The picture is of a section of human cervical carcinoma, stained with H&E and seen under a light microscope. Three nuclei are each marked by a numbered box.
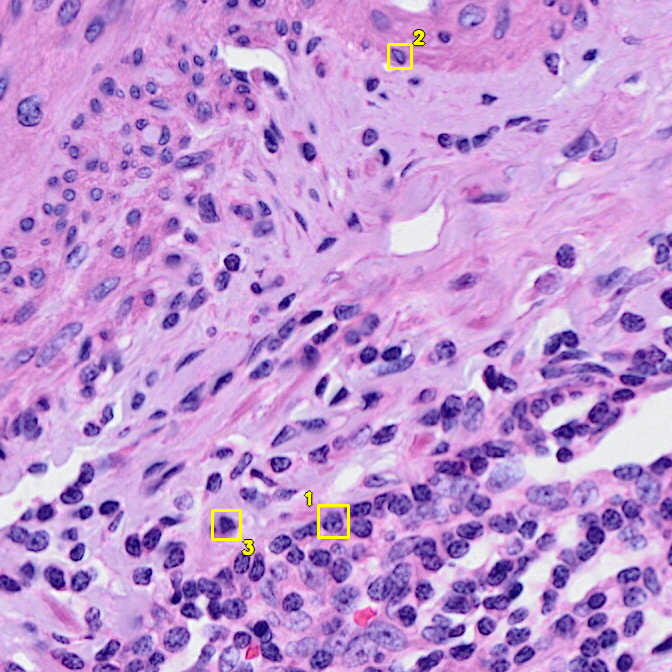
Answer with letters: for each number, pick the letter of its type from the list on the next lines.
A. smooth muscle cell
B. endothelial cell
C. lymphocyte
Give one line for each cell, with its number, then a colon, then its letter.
1: C
2: A
3: C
